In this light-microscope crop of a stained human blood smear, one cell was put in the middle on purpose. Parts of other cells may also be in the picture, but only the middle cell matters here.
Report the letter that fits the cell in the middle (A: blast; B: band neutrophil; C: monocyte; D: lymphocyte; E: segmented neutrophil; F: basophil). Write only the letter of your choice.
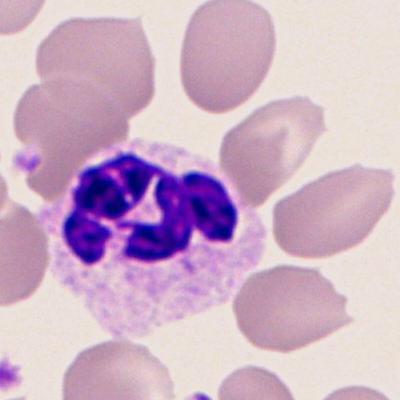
E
